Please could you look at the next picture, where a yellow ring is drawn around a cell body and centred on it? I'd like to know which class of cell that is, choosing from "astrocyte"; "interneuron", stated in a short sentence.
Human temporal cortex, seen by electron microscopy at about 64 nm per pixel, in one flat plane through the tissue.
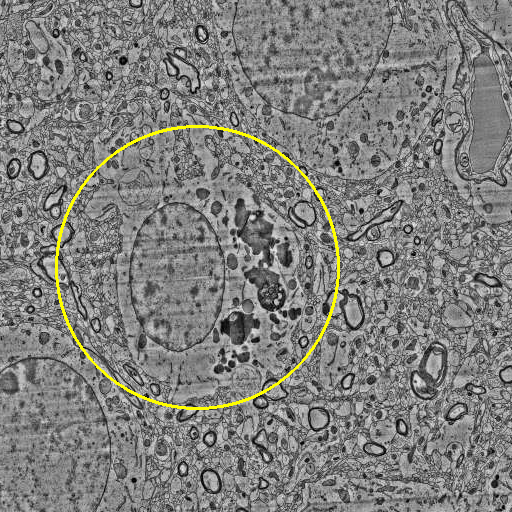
The ring's centre lies on an astrocyte.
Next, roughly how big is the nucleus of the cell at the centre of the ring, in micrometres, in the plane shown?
Approximately 9 micrometres long and 6 micrometres wide, so clearly longer than it is wide in this plane.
